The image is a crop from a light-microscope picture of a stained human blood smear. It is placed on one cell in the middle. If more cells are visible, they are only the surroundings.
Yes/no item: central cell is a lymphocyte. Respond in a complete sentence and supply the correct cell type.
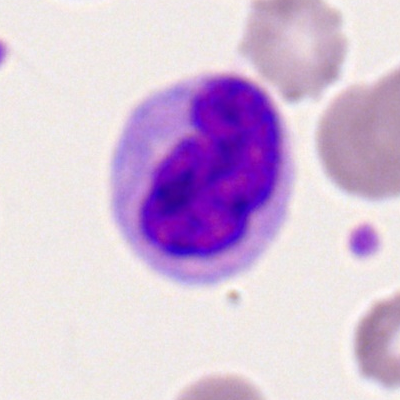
No, the centre of the crop is taken up by a monocyte, not a lymphocyte.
